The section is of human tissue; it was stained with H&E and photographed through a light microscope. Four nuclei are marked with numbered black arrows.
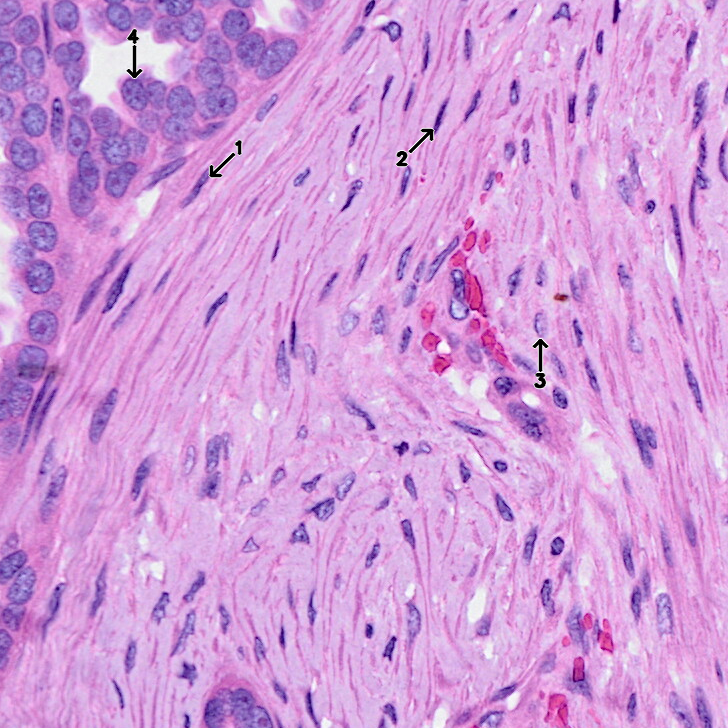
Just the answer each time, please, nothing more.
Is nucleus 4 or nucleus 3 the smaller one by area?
3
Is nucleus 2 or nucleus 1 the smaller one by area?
2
